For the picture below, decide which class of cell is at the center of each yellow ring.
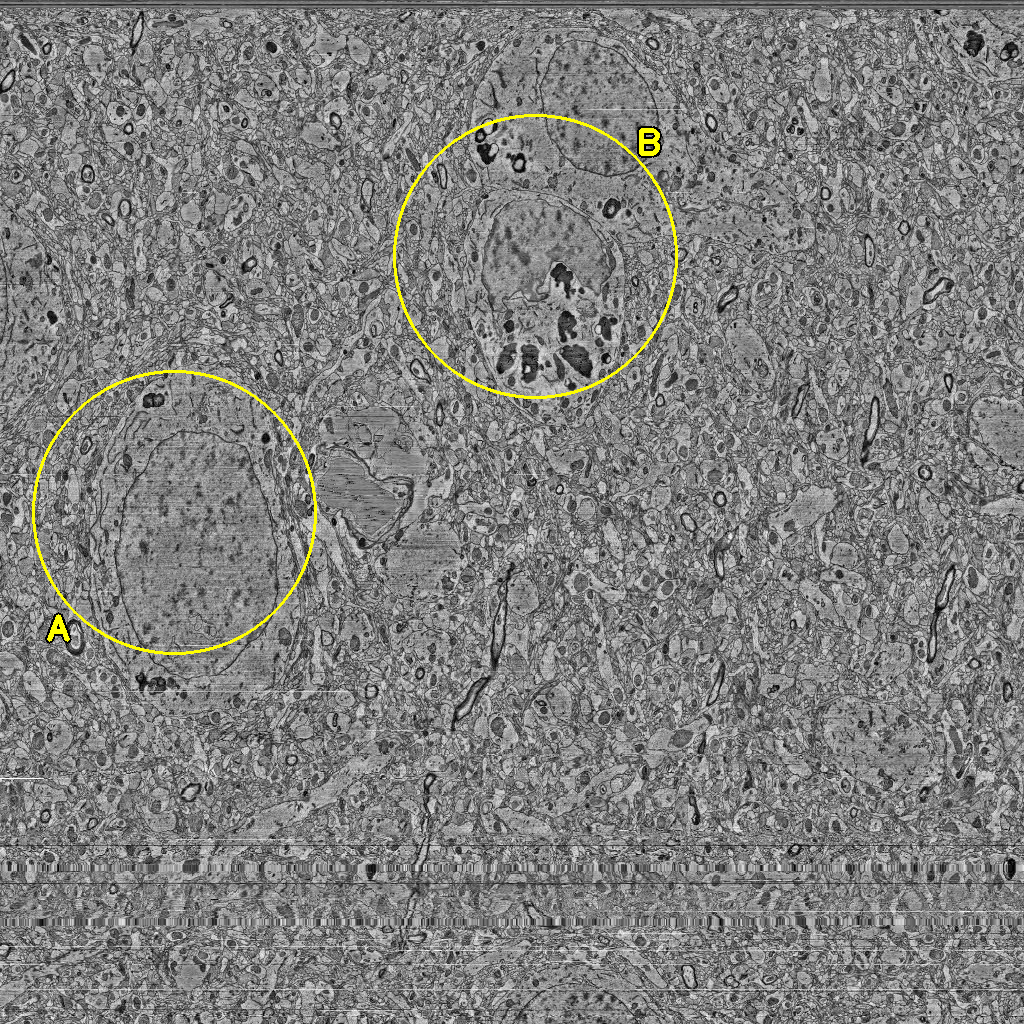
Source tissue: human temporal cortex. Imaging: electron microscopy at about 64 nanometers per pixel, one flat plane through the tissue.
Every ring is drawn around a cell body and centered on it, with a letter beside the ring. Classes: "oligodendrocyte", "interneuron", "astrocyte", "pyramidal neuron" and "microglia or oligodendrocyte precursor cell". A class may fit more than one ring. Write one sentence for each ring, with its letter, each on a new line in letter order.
Centered in ring A is a pyramidal neuron.
Centered in ring B is an interneuron.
